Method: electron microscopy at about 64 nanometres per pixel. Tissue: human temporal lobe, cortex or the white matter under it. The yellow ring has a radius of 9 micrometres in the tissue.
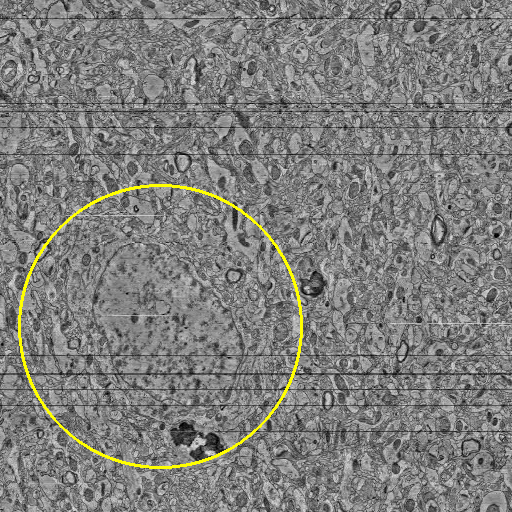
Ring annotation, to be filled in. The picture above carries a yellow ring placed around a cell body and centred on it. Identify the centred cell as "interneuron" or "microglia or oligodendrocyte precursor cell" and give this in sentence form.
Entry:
The cell in the middle of the ring is an interneuron.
